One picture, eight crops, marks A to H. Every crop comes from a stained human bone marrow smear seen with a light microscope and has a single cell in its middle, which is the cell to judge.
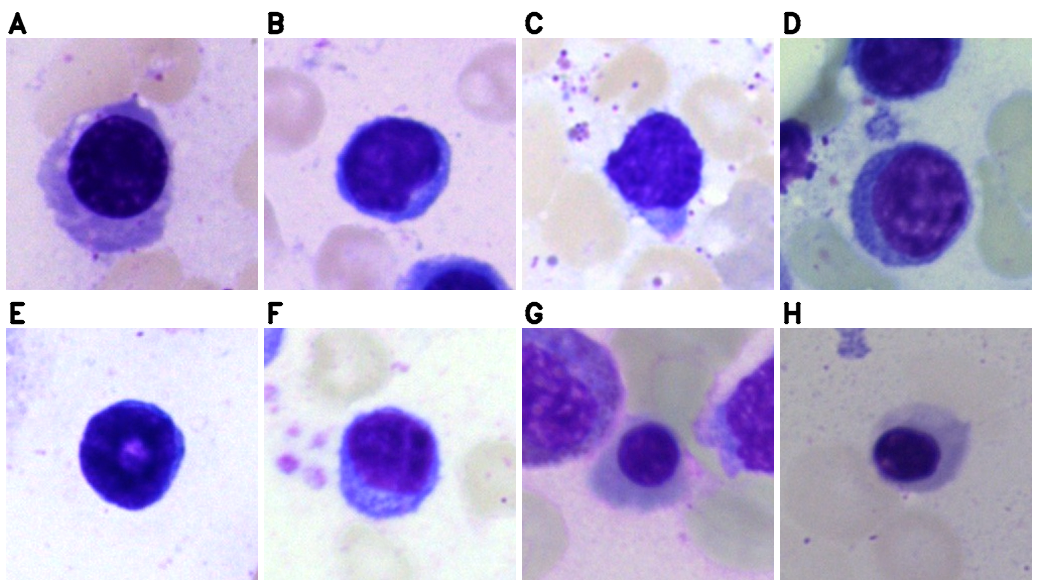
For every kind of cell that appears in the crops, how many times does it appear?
lymphocyte: 5
erythroblast: 3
